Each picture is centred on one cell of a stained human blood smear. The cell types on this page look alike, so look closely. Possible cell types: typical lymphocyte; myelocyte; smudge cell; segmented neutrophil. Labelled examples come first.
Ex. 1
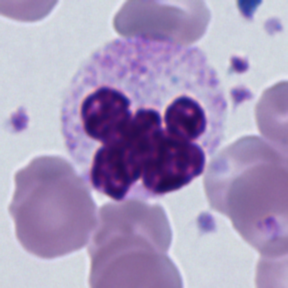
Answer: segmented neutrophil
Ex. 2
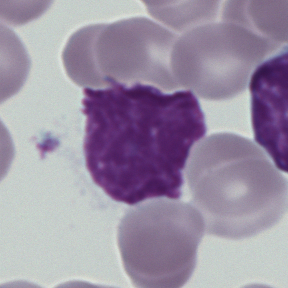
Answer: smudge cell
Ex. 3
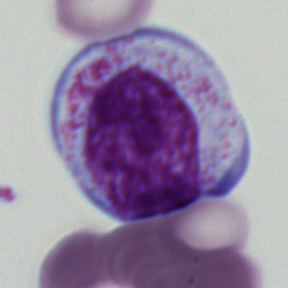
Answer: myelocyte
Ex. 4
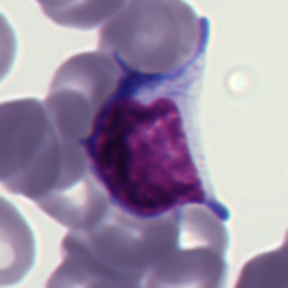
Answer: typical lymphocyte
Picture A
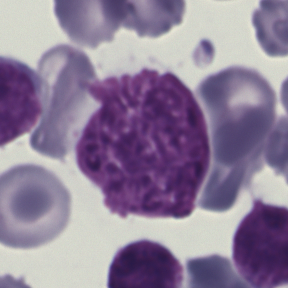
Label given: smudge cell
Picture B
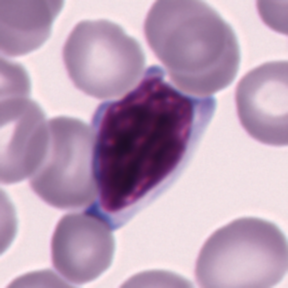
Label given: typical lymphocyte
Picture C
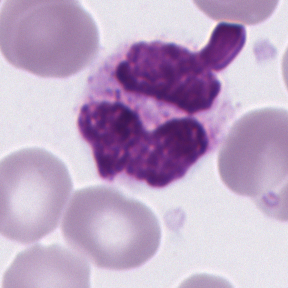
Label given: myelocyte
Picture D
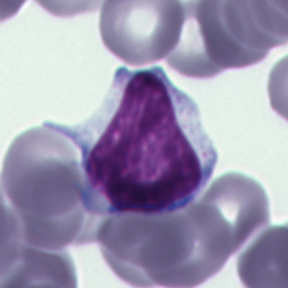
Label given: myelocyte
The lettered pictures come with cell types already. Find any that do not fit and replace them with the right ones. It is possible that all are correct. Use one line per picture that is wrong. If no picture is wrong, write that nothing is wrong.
C: change myelocyte to segmented neutrophil
D: change myelocyte to typical lymphocyte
